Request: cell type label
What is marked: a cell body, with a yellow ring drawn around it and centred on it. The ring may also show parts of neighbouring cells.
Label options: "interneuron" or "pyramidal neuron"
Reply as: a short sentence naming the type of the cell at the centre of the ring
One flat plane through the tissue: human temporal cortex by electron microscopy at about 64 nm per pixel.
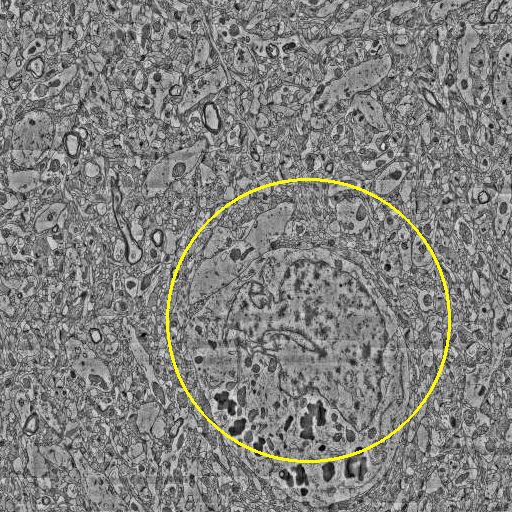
The marked cell body is that of an interneuron.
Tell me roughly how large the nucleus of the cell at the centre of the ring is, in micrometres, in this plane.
Roughly 11 by 9 micrometres is the size of the nucleus in this plane.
